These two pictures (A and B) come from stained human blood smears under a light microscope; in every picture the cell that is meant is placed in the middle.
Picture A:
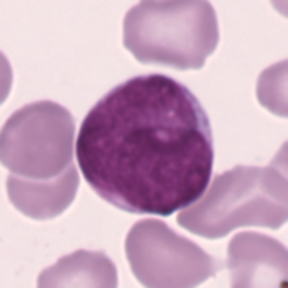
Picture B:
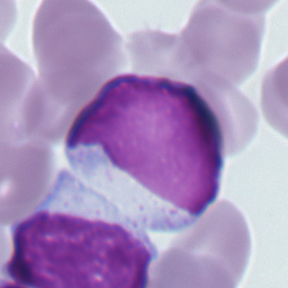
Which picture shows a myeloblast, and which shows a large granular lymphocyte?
A: myeloblast
B: large granular lymphocyte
